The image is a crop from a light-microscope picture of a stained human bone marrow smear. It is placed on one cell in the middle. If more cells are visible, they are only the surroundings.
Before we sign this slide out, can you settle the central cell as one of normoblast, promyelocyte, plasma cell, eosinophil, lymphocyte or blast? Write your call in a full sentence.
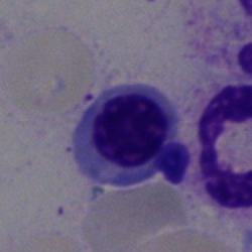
The cell of interest, in the center, is a normoblast.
